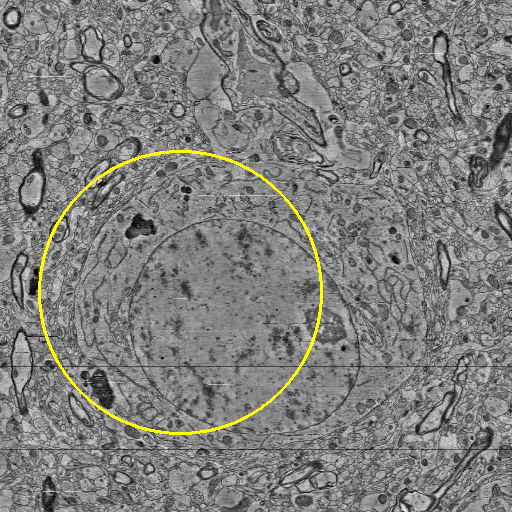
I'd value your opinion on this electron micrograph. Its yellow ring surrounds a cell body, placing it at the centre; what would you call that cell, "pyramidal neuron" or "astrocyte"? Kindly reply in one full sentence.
It is a pyramidal neuron that sits centred within the yellow ring in this micrograph.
